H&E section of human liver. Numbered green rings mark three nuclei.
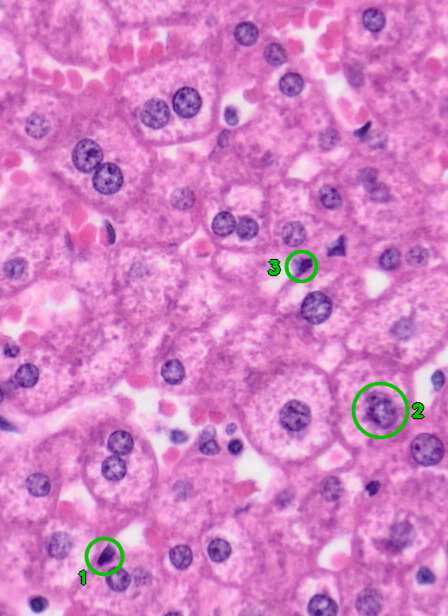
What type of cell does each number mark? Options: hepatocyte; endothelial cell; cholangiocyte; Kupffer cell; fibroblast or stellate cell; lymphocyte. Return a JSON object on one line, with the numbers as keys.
{"1": "fibroblast or stellate cell", "2": "hepatocyte", "3": "fibroblast or stellate cell"}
